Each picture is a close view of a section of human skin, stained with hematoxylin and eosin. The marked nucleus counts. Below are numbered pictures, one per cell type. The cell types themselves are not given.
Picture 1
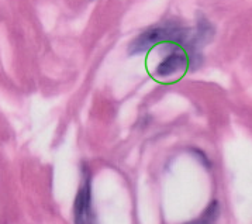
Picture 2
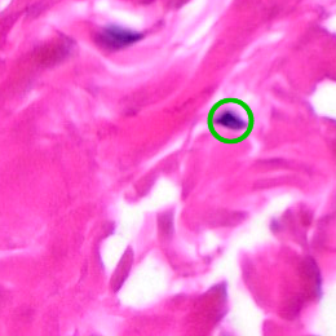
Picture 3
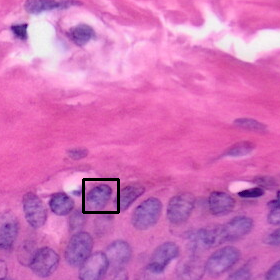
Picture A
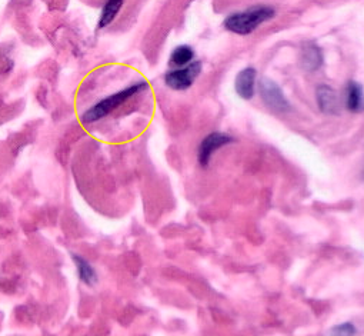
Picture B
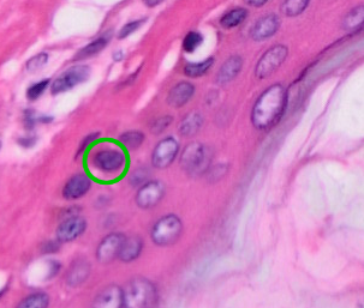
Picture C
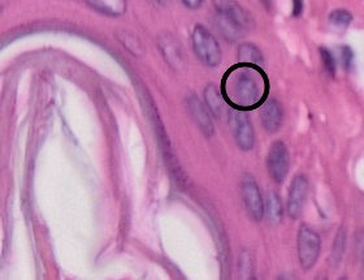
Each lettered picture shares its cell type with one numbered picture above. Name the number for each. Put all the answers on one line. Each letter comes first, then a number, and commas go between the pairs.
A 2, B 3, C 3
